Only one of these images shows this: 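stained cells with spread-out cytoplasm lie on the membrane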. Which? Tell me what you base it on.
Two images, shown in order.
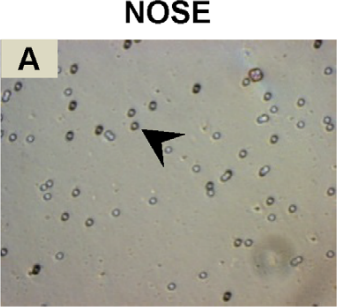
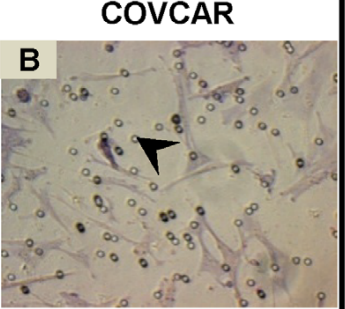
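Second image: many purple-stained flattened cells with extensions lie among the pores. First image: only the pores are seen, with no stained cells between them. So: the second image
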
